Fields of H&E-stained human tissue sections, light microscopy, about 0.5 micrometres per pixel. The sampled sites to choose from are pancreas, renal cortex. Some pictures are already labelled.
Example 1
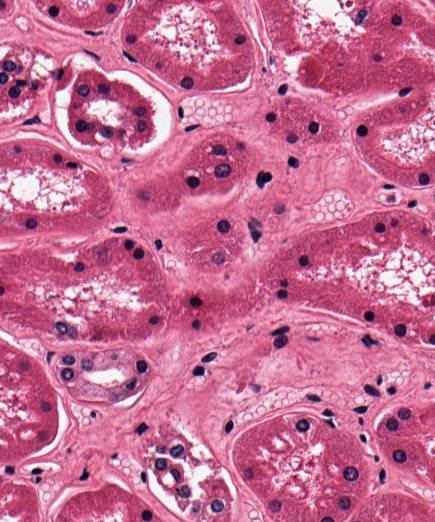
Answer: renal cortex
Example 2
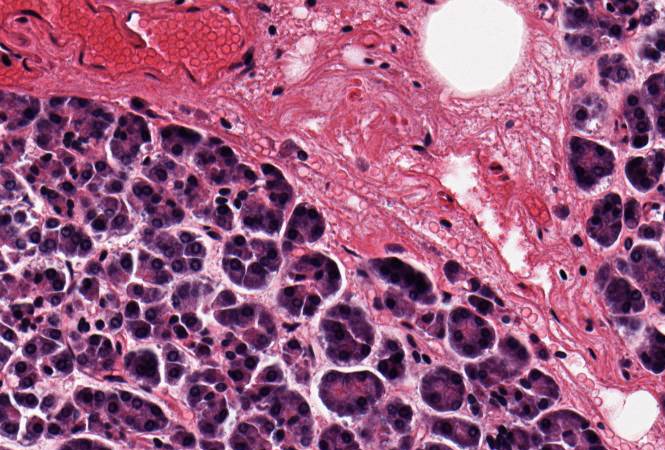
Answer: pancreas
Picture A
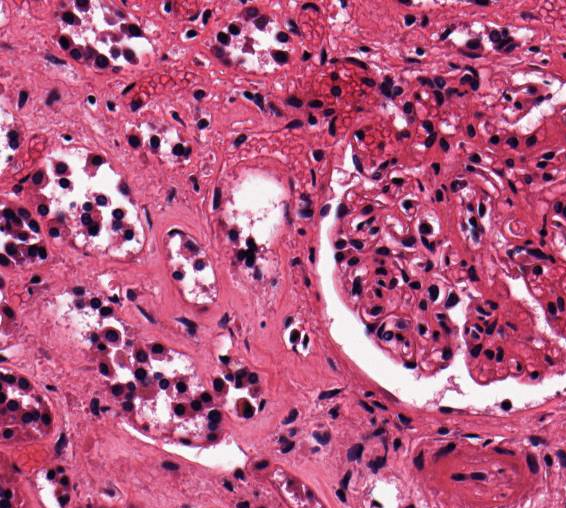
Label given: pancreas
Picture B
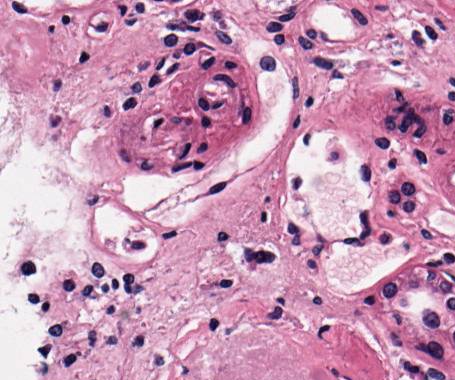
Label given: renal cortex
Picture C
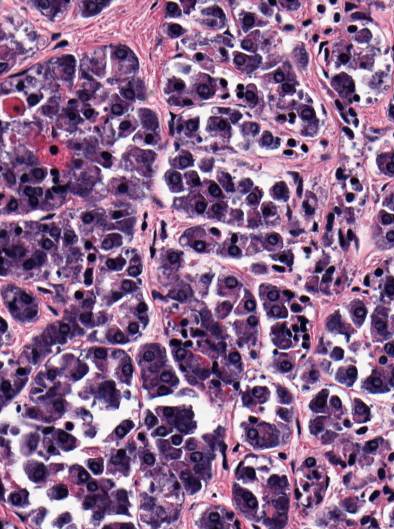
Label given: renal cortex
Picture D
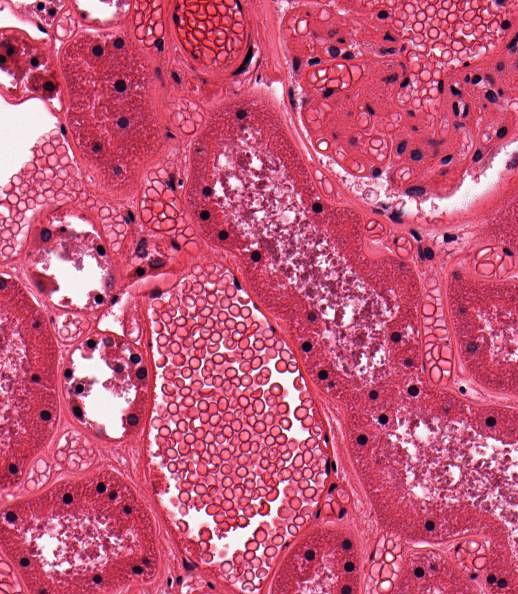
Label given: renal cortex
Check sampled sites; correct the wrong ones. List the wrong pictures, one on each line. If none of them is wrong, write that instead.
A: not pancreas but renal cortex
C: not renal cortex but pancreas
